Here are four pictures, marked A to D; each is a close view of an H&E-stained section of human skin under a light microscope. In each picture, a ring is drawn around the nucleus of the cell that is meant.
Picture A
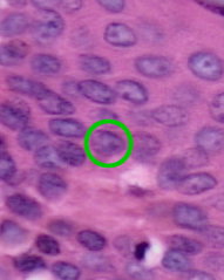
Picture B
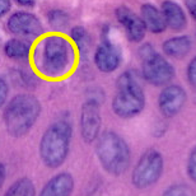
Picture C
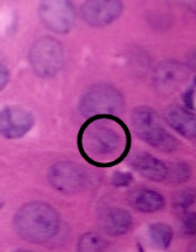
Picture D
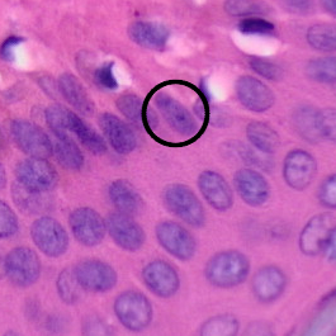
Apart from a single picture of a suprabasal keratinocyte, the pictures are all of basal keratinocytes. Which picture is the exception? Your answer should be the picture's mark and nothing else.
C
